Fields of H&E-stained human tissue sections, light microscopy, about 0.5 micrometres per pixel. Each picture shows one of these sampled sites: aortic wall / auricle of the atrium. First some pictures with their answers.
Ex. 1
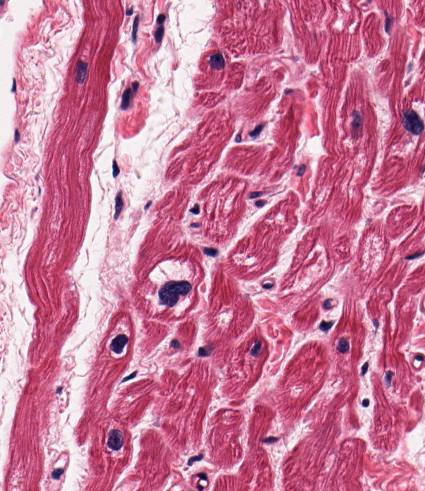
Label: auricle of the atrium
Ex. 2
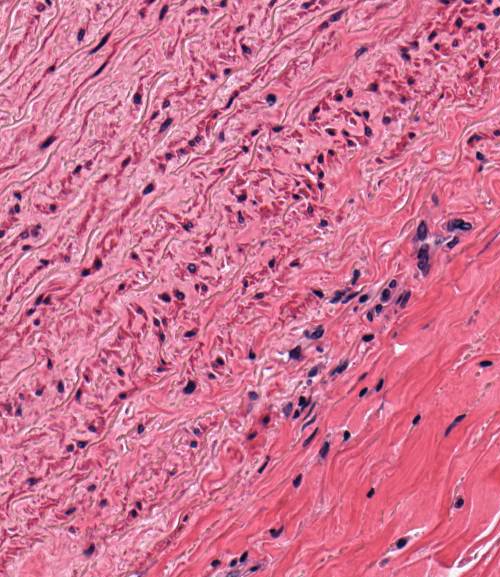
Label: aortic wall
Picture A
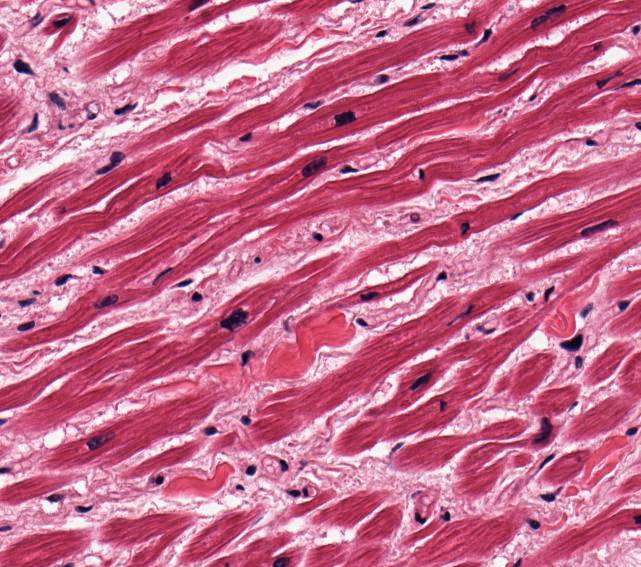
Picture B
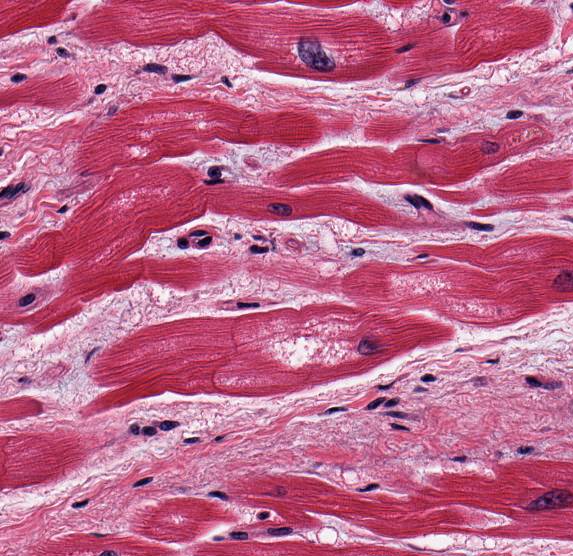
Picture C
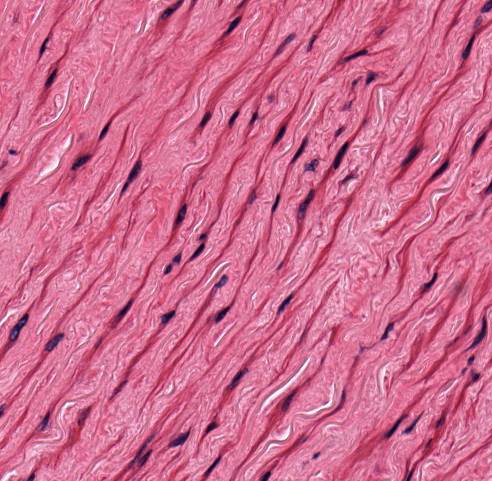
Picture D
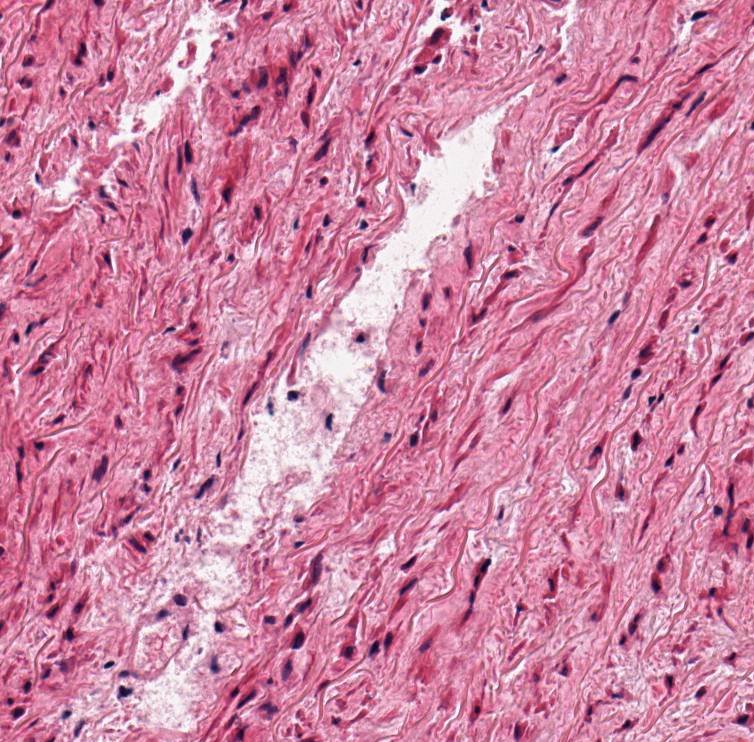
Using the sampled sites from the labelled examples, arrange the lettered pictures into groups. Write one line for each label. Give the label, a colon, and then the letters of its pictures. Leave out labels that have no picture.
aortic wall: C, D
auricle of the atrium: A, B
